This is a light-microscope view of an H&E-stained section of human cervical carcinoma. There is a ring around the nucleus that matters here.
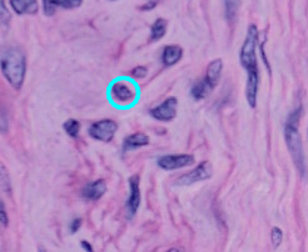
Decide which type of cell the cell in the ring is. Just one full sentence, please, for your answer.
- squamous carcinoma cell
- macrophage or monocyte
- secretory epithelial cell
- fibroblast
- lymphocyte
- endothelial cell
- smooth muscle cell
In this preparation, the cell in the ring is a smooth muscle cell.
